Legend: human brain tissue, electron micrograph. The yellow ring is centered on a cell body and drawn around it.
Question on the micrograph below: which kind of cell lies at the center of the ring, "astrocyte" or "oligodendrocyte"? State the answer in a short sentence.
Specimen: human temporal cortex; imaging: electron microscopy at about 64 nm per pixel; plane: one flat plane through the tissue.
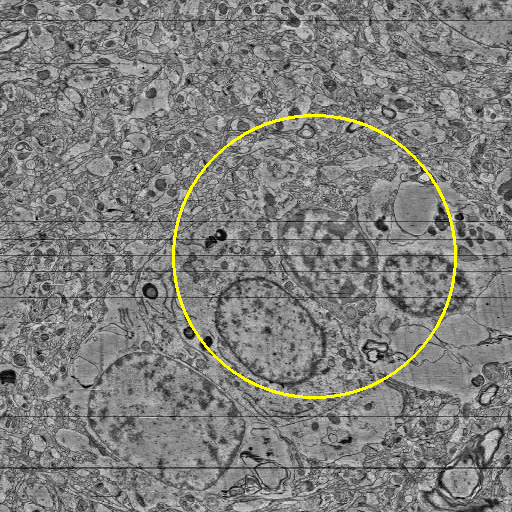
At the center of the ring lies an oligodendrocyte.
